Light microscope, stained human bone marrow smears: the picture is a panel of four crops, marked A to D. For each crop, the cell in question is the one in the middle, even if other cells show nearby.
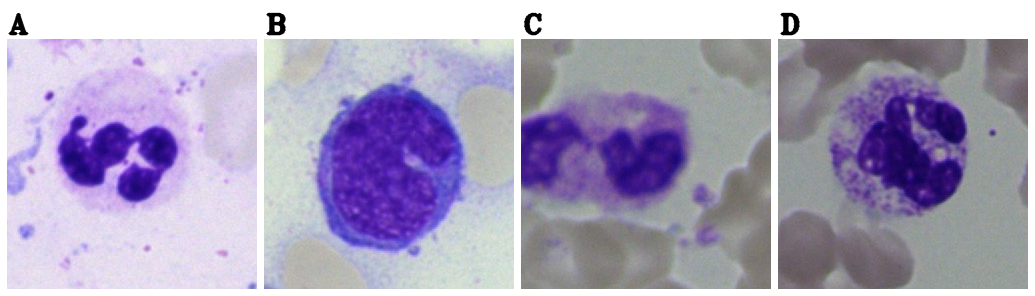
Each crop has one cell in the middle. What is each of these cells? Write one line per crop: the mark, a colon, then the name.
A: segmented neutrophil
B: monocyte
C: segmented neutrophil
D: segmented neutrophil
